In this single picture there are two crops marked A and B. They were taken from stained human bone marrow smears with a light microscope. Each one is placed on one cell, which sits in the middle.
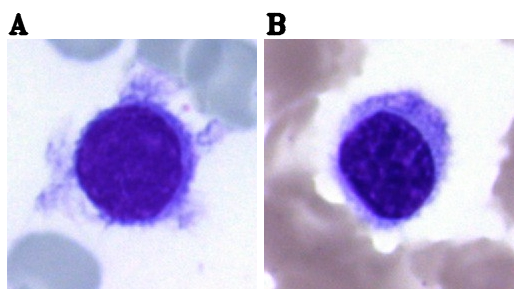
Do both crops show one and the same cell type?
yes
